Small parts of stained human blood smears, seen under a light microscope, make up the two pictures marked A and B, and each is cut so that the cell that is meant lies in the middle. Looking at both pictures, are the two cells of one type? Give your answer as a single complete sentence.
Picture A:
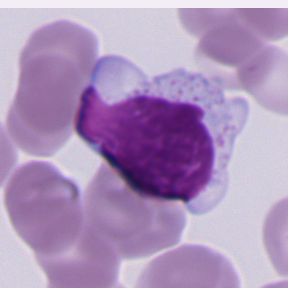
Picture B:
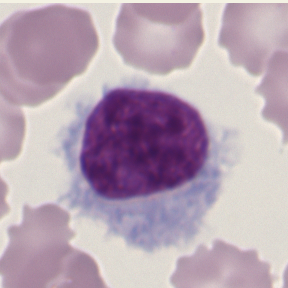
No. Picture A shows a large granular lymphocyte, but picture B shows a hairy cell.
